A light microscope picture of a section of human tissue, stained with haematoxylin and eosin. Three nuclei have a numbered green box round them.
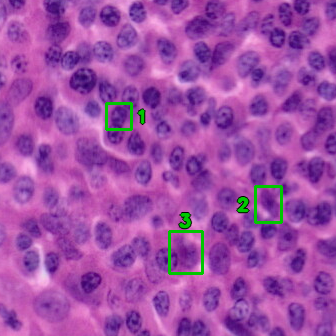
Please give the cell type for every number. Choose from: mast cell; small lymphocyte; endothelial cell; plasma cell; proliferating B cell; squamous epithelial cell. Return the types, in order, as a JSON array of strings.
["plasma cell", "squamous epithelial cell", "squamous epithelial cell"]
